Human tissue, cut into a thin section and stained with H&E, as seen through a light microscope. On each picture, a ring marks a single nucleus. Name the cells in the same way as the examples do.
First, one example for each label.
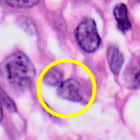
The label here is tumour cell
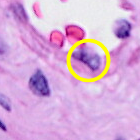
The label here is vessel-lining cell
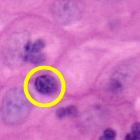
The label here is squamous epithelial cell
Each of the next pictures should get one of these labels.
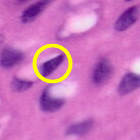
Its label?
squamous epithelial cell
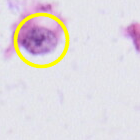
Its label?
tumour cell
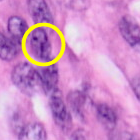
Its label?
tumour cell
